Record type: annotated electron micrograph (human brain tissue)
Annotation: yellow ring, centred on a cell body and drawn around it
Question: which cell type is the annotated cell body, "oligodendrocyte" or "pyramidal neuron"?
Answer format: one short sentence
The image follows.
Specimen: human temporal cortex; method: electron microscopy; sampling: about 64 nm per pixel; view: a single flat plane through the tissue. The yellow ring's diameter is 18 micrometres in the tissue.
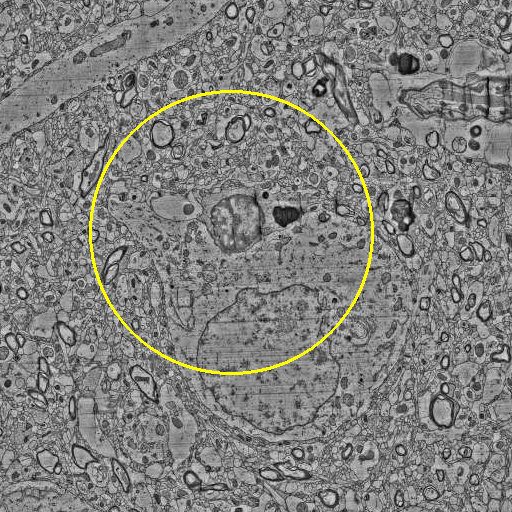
The annotated cell body is that of an oligodendrocyte.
